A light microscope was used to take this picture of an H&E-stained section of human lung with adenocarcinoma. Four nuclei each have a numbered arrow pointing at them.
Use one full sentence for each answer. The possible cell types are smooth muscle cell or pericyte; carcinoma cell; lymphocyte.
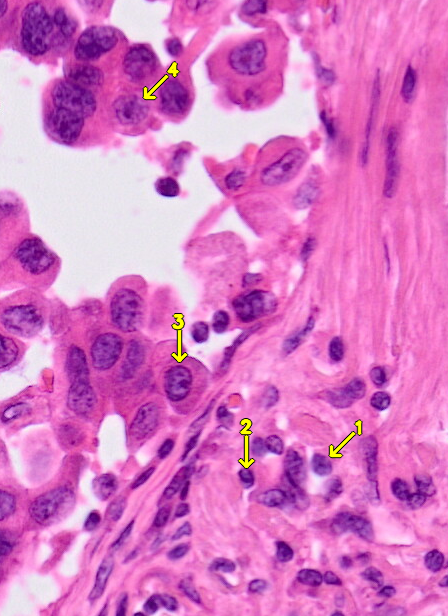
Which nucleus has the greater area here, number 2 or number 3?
At about 3 times the area of nucleus 2, nucleus 3 is the larger of the two.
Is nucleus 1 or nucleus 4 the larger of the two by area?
Nucleus 4 is the larger one, covering about 2 times the area of nucleus 1.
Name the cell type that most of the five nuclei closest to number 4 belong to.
The majority of the five nuclei closest to number 4 belong to carcinoma cells.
